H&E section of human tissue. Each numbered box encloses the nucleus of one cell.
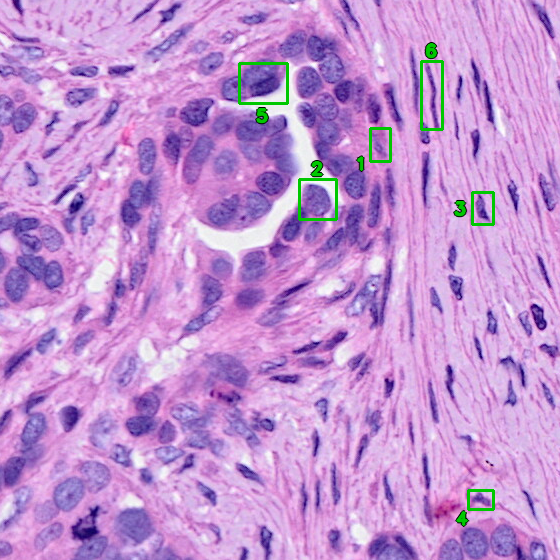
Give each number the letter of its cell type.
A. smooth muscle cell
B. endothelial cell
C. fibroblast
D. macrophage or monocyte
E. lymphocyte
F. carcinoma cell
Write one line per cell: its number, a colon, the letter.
1: C
2: F
3: C
4: C
5: F
6: C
